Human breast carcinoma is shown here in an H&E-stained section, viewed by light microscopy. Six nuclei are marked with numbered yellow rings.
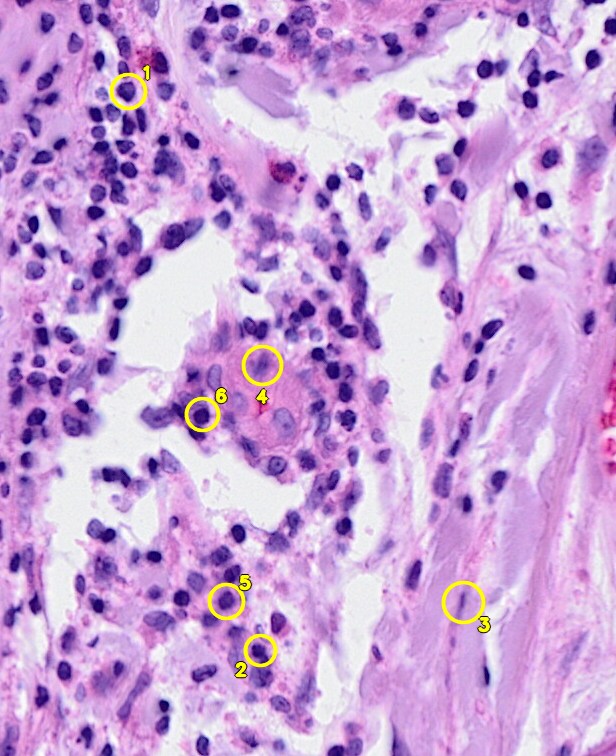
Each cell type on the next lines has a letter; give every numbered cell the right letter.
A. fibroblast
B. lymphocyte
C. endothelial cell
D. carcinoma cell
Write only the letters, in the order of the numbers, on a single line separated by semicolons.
B; B; A; C; B; B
